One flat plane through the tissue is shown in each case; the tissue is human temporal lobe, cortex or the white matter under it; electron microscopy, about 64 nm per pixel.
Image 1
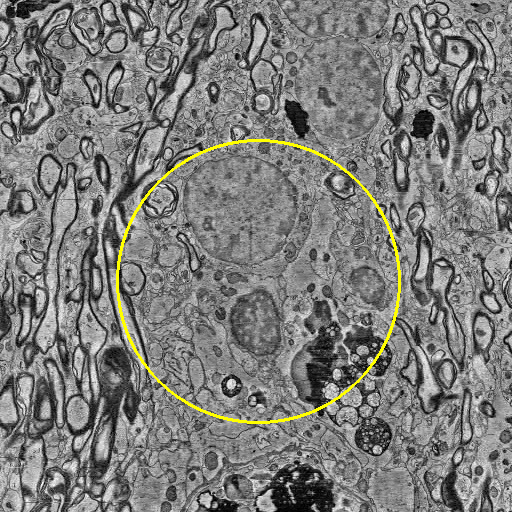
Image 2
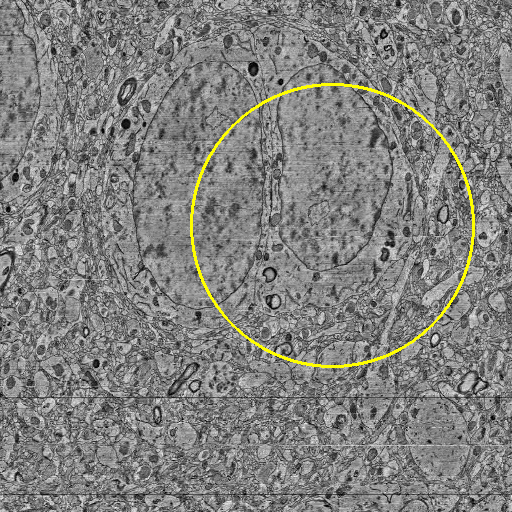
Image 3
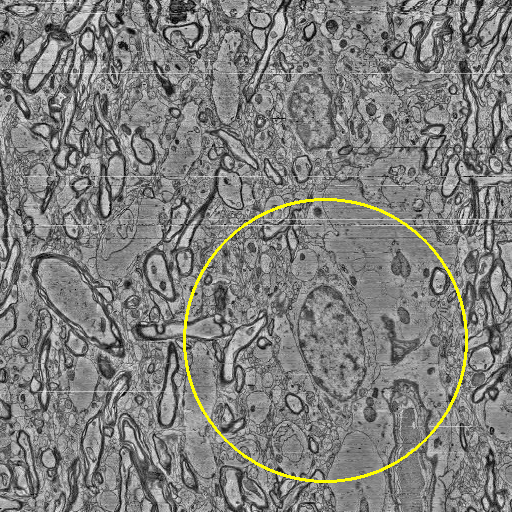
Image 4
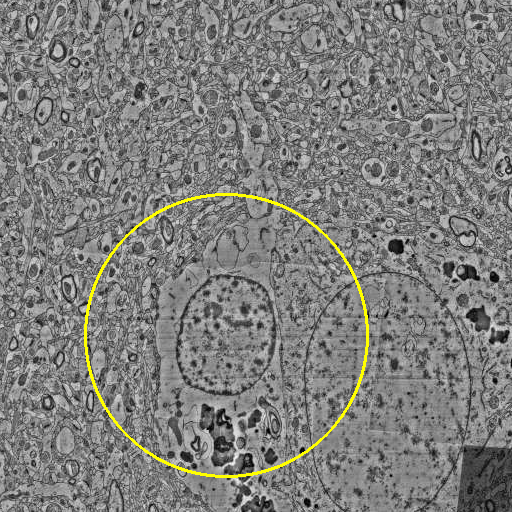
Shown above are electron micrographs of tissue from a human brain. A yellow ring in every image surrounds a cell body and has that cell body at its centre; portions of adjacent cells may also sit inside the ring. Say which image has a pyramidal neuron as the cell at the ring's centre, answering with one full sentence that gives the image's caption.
The image whose ring is centred on the requested cell is Image 2.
